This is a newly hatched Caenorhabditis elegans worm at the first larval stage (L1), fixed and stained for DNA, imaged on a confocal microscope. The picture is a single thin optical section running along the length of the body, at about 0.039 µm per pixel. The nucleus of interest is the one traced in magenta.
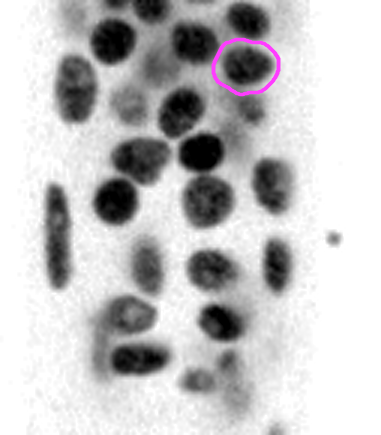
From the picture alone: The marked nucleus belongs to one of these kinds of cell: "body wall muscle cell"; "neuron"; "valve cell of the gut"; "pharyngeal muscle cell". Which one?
neuron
